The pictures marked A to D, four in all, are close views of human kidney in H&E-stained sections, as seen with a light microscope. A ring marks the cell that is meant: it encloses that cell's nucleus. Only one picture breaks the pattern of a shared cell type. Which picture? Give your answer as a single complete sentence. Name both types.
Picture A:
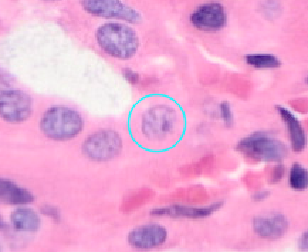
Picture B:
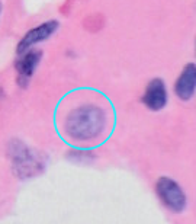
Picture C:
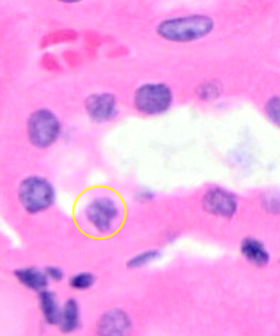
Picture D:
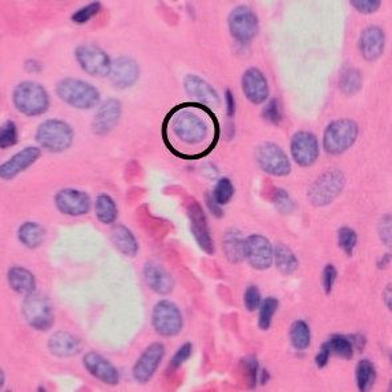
Unlike the rest, which show “loop of Henle or distal tubule cells”, picture D shows a collecting duct cell.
